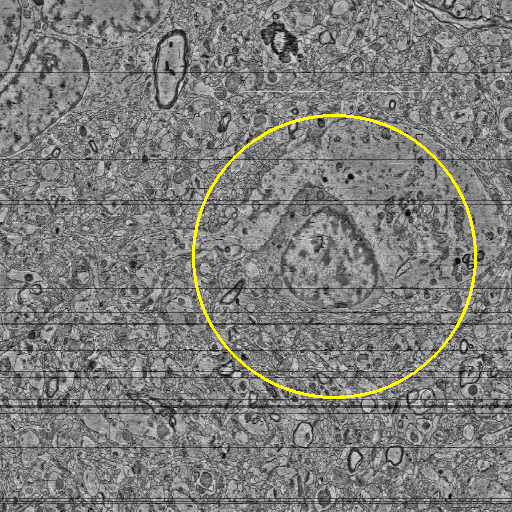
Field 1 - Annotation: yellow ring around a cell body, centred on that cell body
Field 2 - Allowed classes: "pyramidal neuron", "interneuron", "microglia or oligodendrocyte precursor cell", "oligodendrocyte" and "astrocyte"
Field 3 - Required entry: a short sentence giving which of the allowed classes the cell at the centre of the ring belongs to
The centred cell is an oligodendrocyte.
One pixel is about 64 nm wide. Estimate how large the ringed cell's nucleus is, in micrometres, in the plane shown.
Roughly 6 micrometers across in this plane.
